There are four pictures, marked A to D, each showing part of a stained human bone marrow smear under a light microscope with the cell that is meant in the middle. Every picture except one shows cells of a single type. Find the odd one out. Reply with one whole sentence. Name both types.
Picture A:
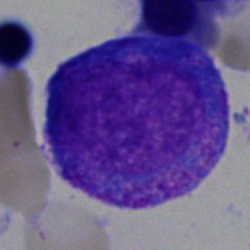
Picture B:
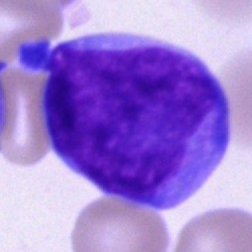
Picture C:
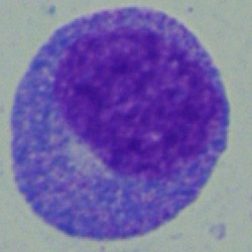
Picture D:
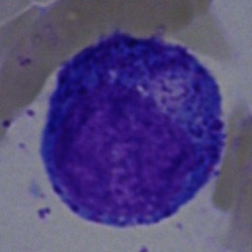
The others show promyelocytes, but picture B shows a blast.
